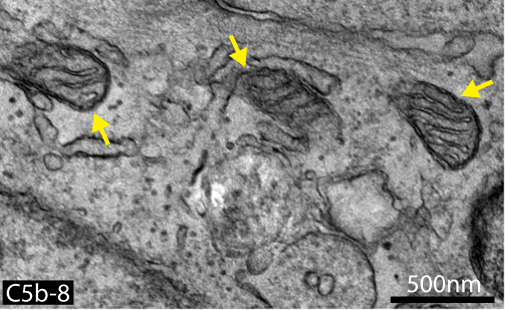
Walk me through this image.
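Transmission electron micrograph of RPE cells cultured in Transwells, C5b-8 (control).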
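The mitochondria are oval to bean-shaped, bounded by a double membrane, and packed with numerous thin, parallel lamellar cristae running across their width, giving a striped appearance. Around them lies a finely granular, moderately grey cytoplasm with scattered small dark granules, small round vesicles and tubular membrane profiles. Toward the centre are pale, irregular membrane-bound regions with faint fibrillar content. Longer membrane outlines curve along the lower left and upper edge of the field.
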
